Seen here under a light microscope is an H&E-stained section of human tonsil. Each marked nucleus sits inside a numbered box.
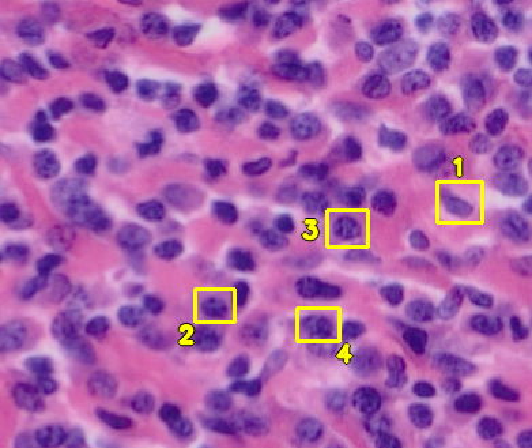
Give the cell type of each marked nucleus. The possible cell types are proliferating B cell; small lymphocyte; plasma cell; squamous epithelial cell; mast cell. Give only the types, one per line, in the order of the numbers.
mast cell
plasma cell
plasma cell
plasma cell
